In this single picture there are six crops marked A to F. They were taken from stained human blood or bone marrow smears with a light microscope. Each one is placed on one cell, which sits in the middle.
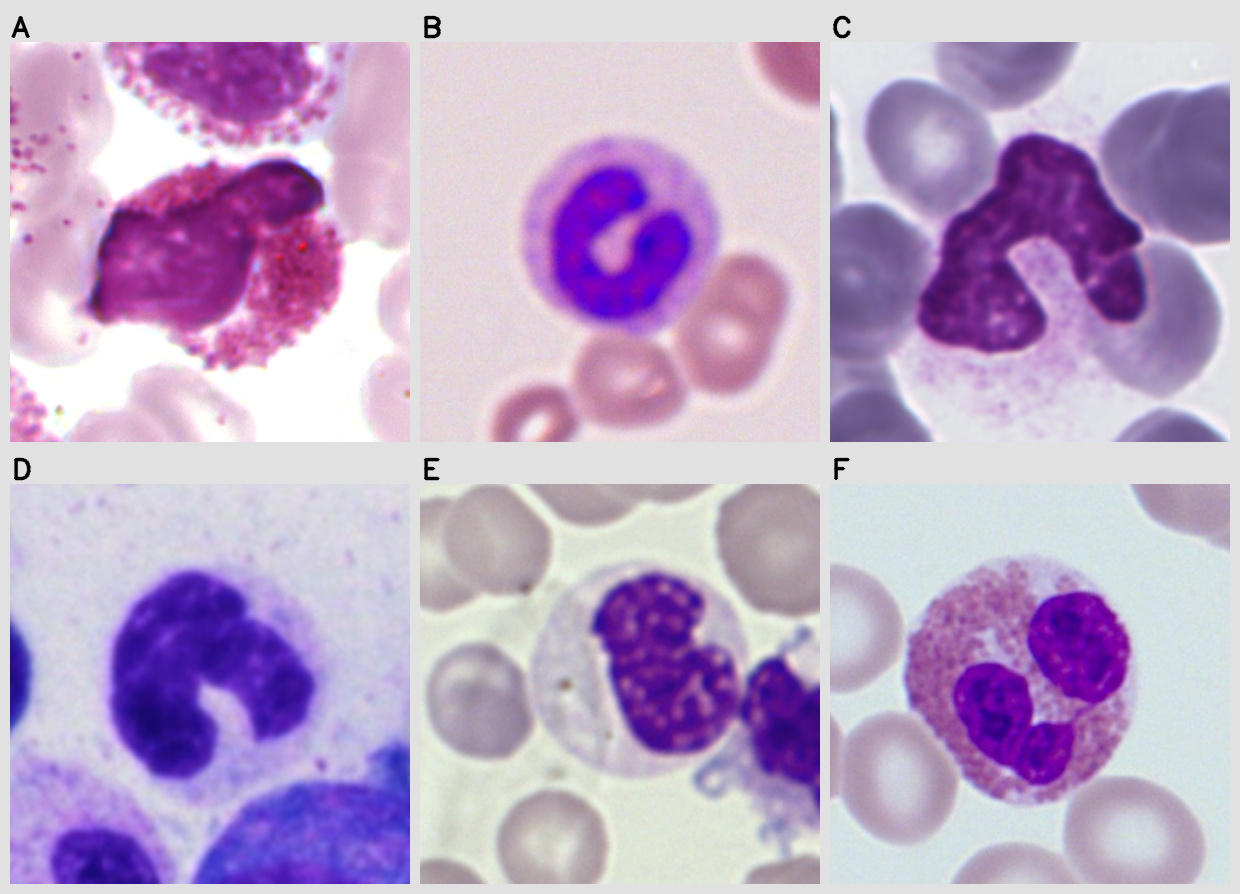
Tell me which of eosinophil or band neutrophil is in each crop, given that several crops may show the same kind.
A: eosinophil
B: band neutrophil
C: band neutrophil
D: band neutrophil
E: band neutrophil
F: eosinophil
